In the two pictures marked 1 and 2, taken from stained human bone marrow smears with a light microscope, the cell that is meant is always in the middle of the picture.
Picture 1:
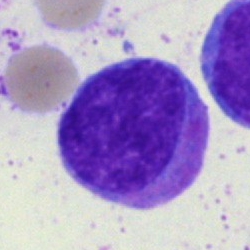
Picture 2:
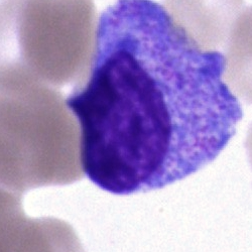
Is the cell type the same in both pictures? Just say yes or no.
yes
